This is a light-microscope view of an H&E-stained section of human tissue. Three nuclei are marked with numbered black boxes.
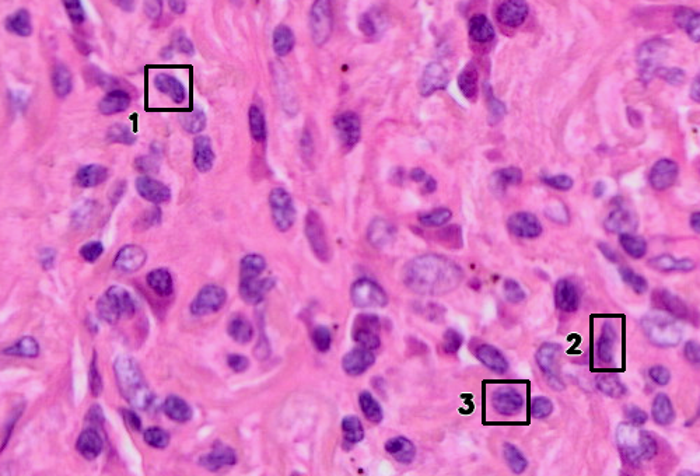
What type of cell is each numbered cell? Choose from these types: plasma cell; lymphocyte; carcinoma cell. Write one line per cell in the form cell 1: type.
cell 1: lymphocyte
cell 2: plasma cell
cell 3: lymphocyte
